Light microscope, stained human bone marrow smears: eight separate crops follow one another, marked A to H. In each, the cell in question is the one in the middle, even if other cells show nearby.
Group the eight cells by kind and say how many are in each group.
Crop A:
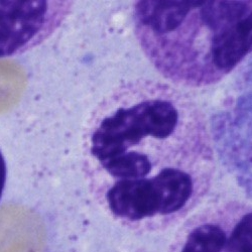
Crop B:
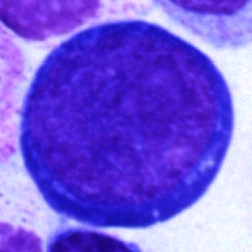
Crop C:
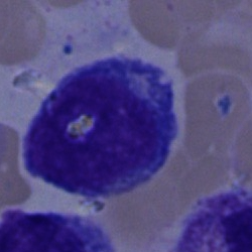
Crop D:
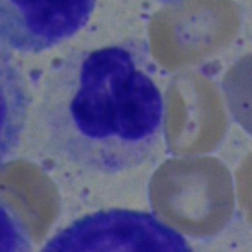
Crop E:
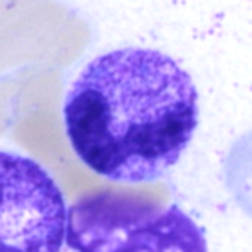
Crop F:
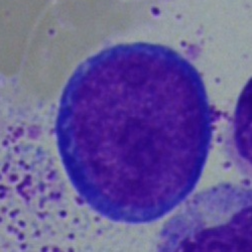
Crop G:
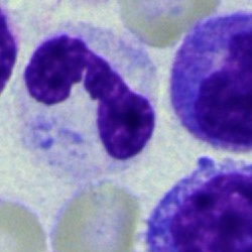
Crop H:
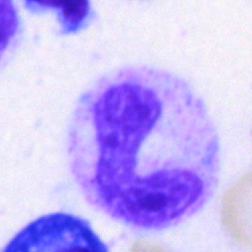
segmented neutrophil: 4
proerythroblast: 3
band neutrophil: 1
